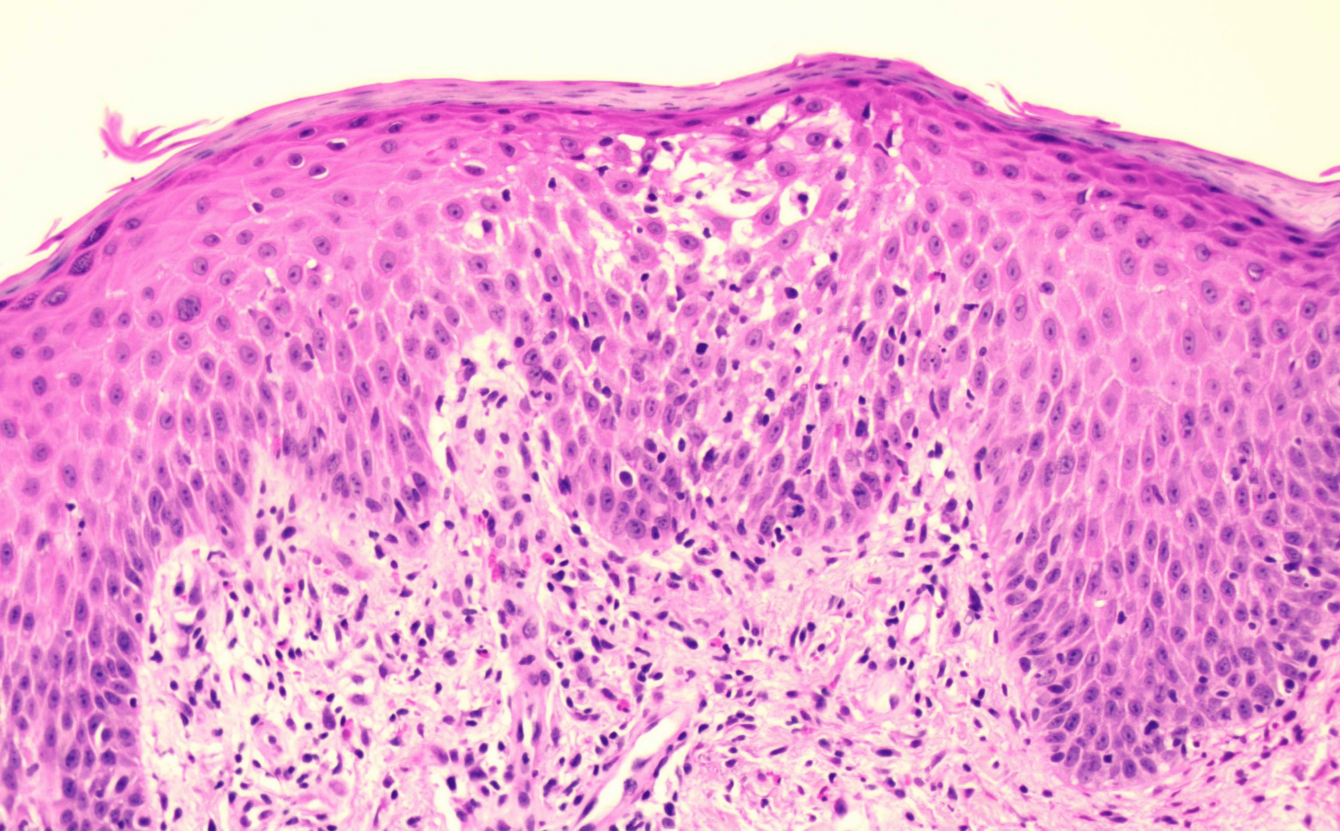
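Skin shows a thickened layer of stratified squamous epidermis over a superficial dermis with a dense inflammatory infiltrate. Keratinocytes have round to oval nuclei and pink cytoplasm, and they flatten toward a thin surface layer of keratin. In the centre of the epidermis the cells are pushed apart by pale intercellular spaces, forming a loose vacuolated zone. Inflammatory cells, some with pink-red cytoplasm, lie scattered among these keratinocytes. The superficial dermis beneath is loose and pale, with many small dark-nucleated inflammatory cells and small vessels gathered along the junction with the epidermis.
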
